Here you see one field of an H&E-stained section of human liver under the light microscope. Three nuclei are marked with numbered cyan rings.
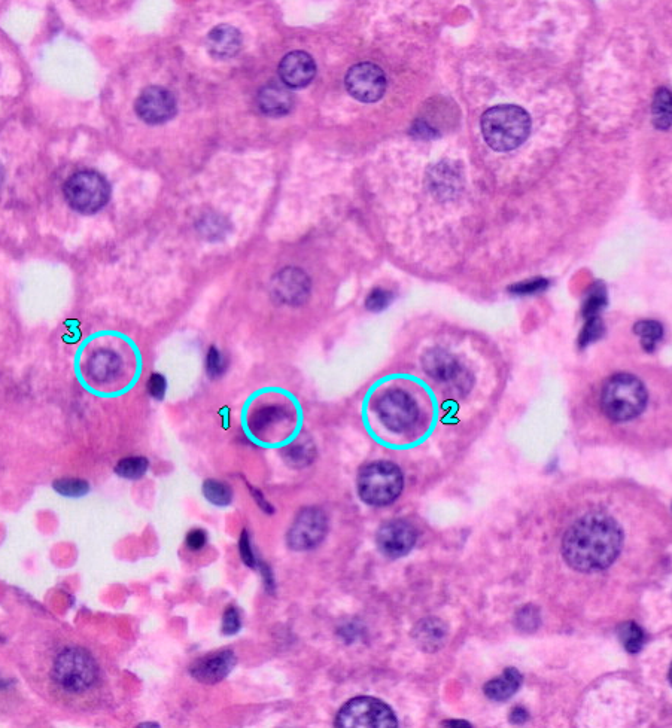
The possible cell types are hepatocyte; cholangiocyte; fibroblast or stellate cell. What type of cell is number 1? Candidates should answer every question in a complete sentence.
The cell that goes by number 1 is a fibroblast or stellate cell.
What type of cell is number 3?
Identified by the number 3, the cell is a hepatocyte.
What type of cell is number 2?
Cell 2 in the field is a hepatocyte.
